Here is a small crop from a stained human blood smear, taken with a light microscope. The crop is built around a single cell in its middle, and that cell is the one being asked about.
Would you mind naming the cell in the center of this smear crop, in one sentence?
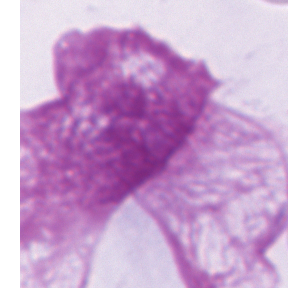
Answering briefly, the cell in the middle is a smudge cell.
